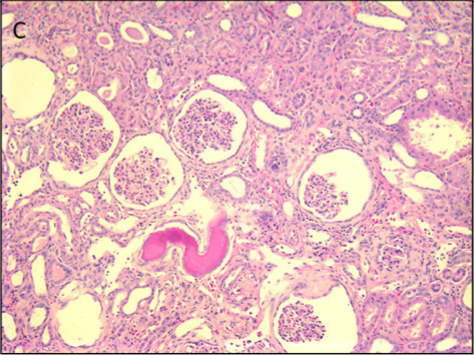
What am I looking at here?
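Kidney cortex with several glomeruli surrounded by tubules, many of which are dilated. The glomeruli are rounded capillary tufts with purple nuclei, set within clear Bowman spaces; some spaces appear widened. Nearby tubules show wide, empty-looking lumens of varying round and irregular shapes, lined by low epithelium. Near the lower centre, one tubular lumen holds a curved, dense, bright pink homogeneous cast. Between the structures lie smaller tubules with pink cytoplasm and interstitium with scattered nuclei. No glomerulus shows an obvious scarred segment.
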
